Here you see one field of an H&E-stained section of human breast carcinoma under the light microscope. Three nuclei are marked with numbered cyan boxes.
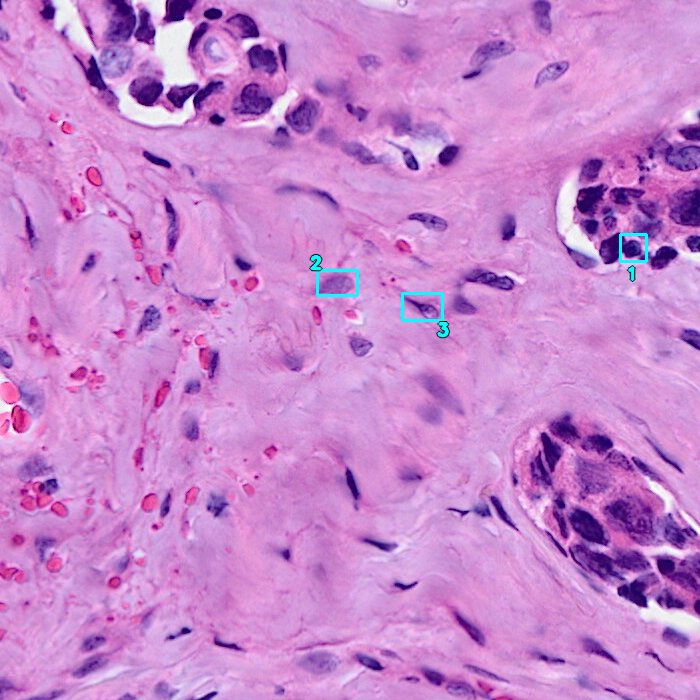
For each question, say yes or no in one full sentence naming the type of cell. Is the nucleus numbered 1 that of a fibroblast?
No, cell 1 is not a fibroblast; a lymphocyte is correct.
